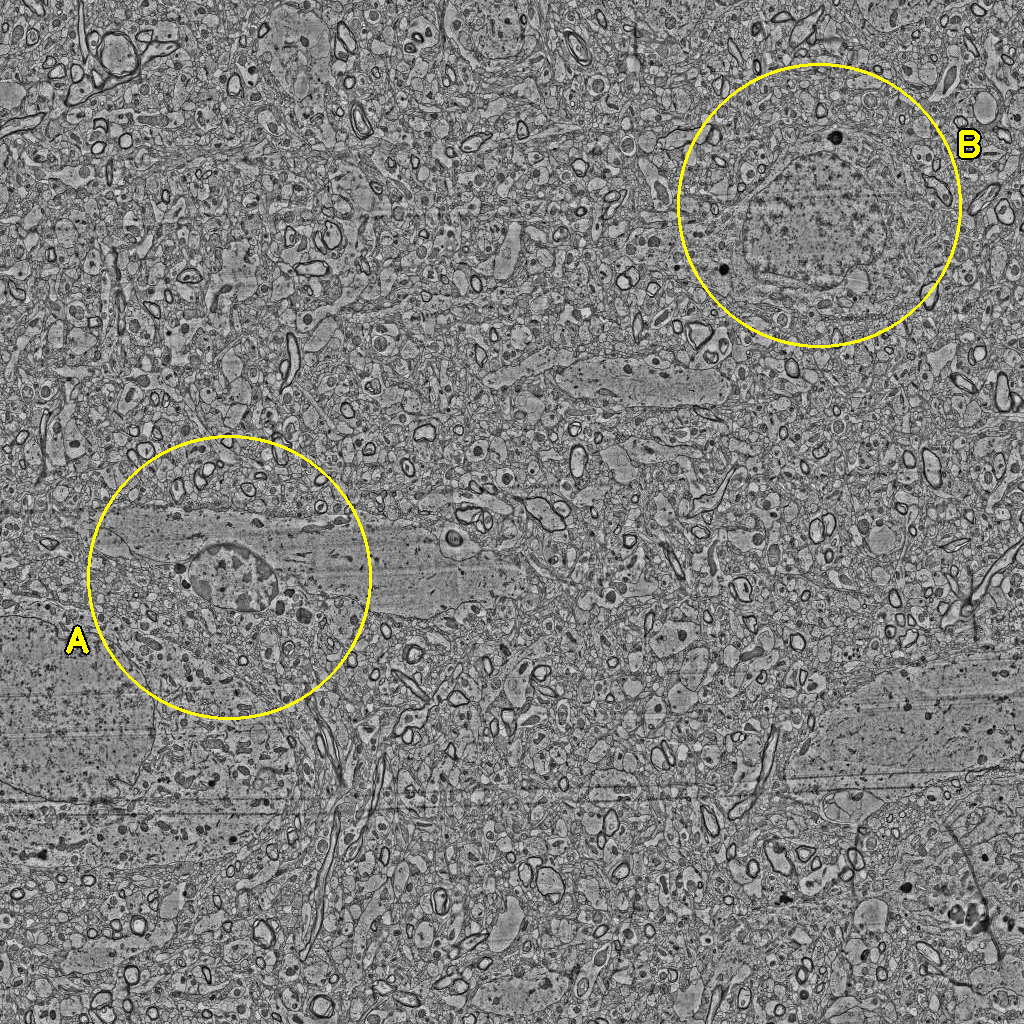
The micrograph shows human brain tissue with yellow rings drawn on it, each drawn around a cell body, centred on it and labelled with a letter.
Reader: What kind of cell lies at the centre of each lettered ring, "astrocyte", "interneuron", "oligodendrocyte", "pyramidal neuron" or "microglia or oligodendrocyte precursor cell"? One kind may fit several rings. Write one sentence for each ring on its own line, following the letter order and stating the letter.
At the centre of ring A lies a microglial cell or oligodendrocyte precursor cell.
At the centre of ring B lies an interneuron.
